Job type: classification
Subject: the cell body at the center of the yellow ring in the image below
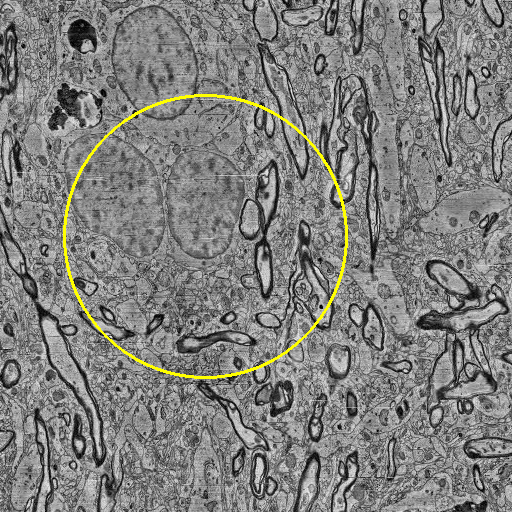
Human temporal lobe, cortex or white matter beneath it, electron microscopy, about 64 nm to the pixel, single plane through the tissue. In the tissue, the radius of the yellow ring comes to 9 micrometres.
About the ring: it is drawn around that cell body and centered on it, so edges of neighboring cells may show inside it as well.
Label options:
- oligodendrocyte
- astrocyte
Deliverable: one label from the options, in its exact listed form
oligodendrocyte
